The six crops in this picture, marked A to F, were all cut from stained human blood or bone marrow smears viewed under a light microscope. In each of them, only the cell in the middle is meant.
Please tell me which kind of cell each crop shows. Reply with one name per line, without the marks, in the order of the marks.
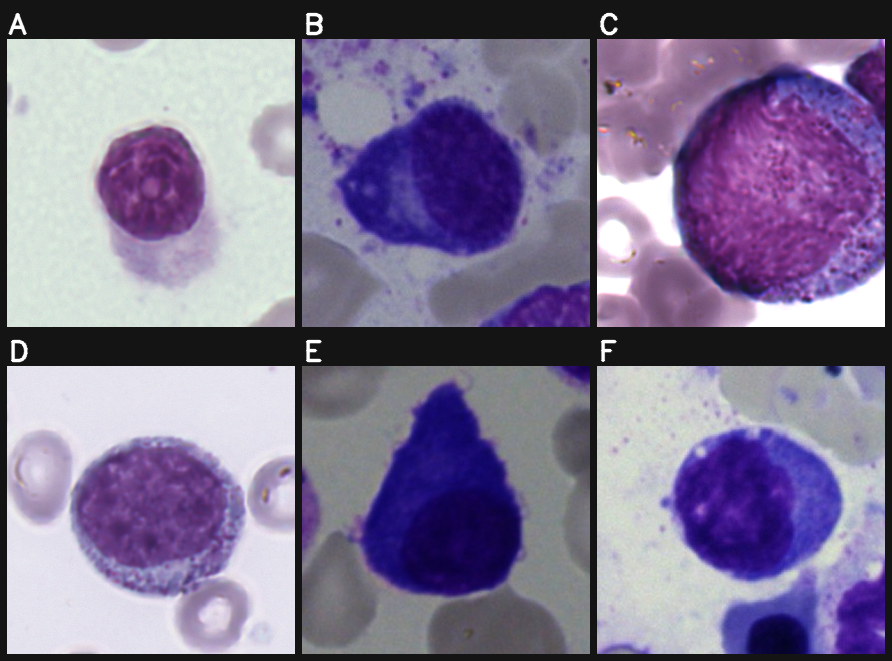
plasma cell
plasma cell
promyelocyte
promyelocyte
plasma cell
plasma cell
